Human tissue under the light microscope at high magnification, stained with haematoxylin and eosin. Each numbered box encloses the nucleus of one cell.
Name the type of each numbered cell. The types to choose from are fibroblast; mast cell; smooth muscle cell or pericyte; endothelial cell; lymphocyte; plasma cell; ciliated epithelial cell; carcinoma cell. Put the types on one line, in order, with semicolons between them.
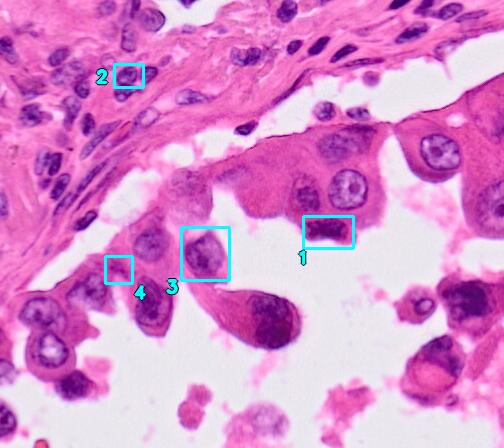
carcinoma cell; lymphocyte; carcinoma cell; carcinoma cell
